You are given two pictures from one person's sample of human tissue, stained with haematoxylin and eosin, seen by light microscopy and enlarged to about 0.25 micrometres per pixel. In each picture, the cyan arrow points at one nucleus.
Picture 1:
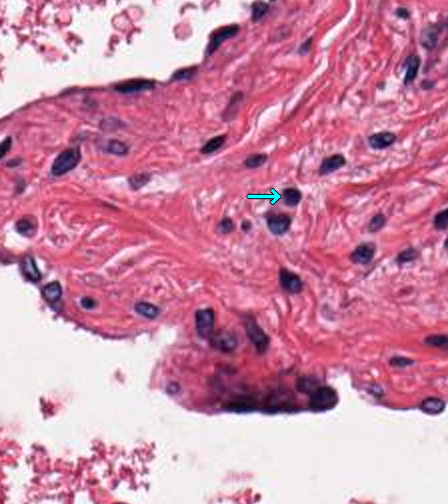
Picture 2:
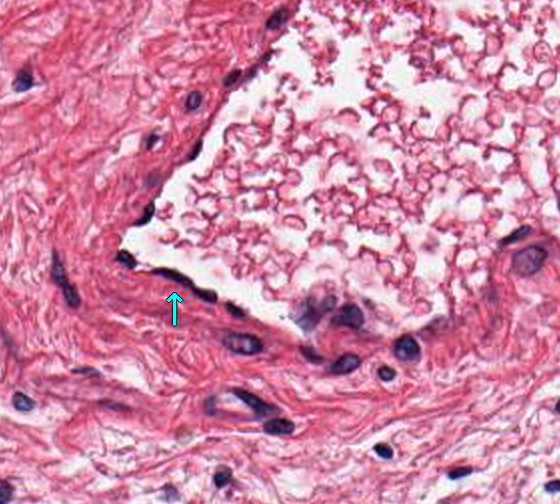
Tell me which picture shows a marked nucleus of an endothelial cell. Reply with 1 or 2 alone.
2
